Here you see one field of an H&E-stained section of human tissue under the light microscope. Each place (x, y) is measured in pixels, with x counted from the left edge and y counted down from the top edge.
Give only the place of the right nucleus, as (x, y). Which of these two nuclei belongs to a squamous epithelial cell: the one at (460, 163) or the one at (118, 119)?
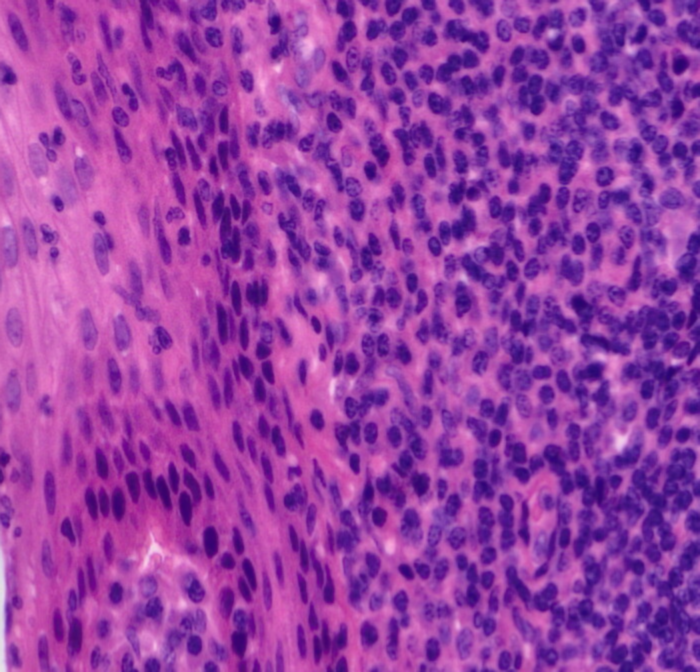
(118, 119)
